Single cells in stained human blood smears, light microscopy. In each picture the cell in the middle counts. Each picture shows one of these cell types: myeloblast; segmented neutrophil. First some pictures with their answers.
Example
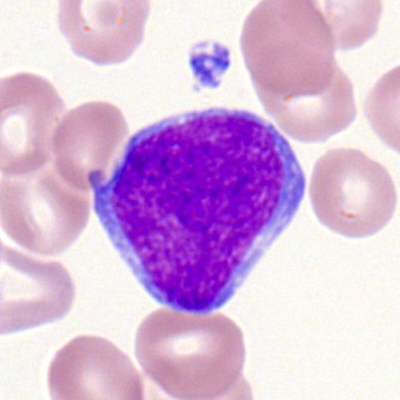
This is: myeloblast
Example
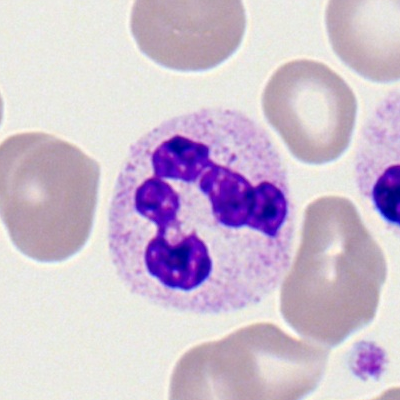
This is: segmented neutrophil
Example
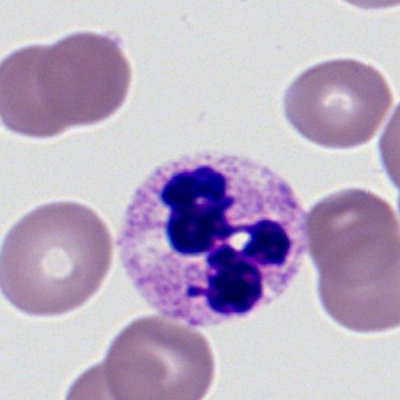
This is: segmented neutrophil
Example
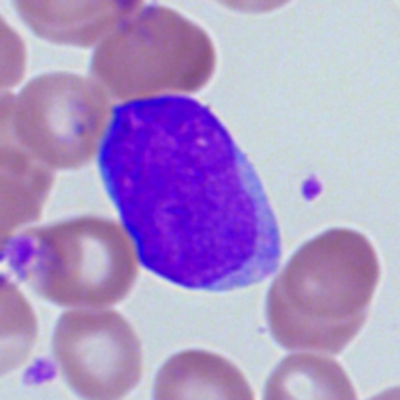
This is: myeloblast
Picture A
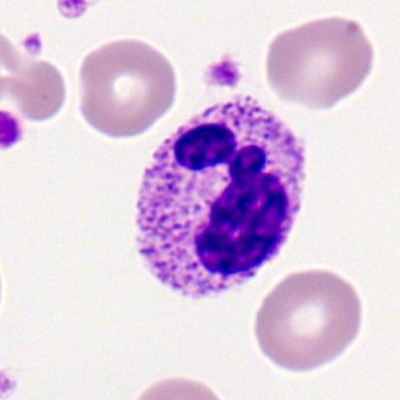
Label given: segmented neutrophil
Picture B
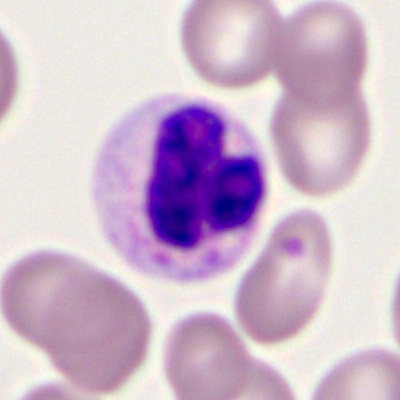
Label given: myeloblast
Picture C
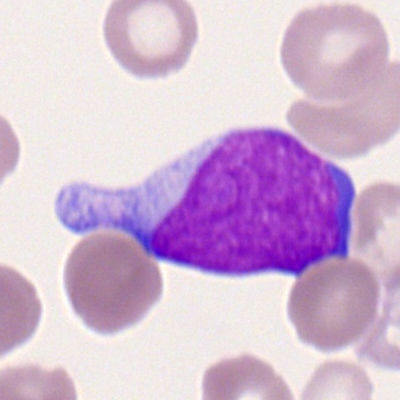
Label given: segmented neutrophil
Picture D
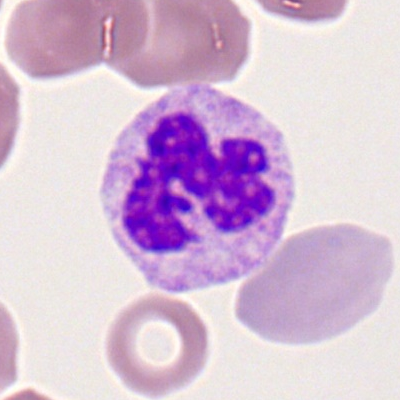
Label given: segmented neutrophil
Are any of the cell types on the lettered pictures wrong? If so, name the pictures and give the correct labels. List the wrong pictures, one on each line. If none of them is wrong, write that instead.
B: segmented neutrophil, not myeloblast
C: myeloblast, not segmented neutrophil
